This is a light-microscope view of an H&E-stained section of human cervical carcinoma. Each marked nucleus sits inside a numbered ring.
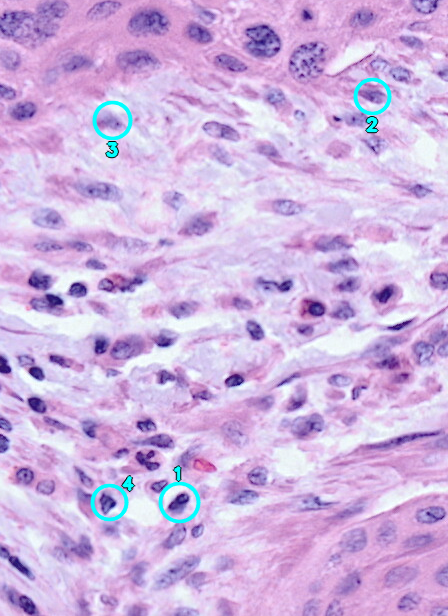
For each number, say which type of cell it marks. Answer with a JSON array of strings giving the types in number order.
["lymphocyte", "fibroblast", "fibroblast", "lymphocyte"]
